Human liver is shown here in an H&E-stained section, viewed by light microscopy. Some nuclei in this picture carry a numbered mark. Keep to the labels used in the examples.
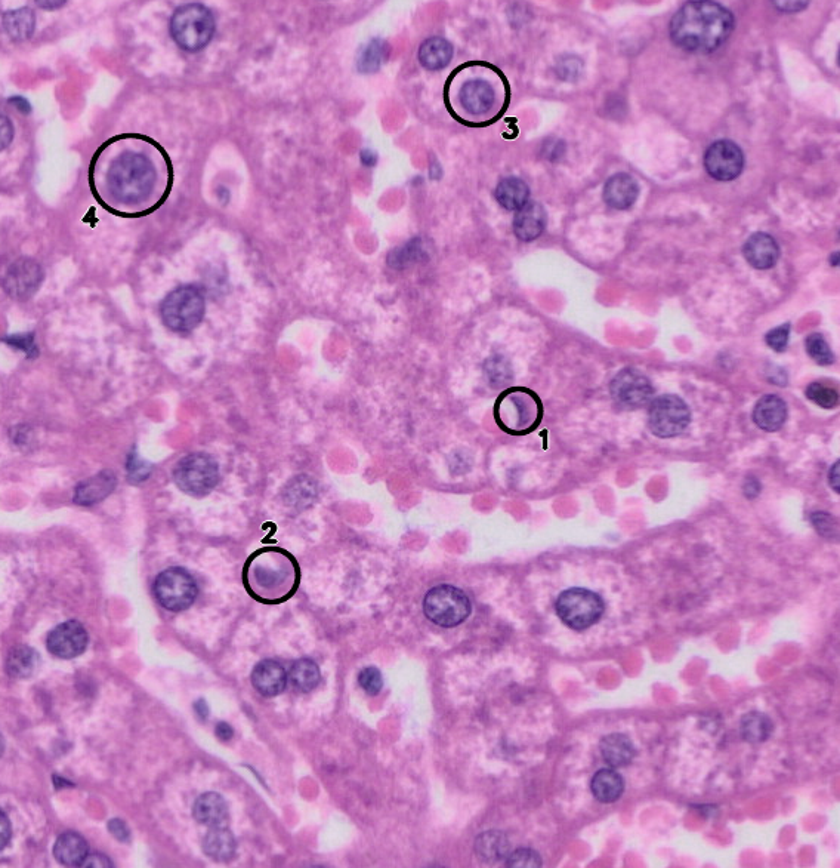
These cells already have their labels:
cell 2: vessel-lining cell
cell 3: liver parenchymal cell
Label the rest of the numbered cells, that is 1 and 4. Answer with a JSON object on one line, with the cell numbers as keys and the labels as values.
{"1": "vessel-lining cell", "4": "liver parenchymal cell"}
